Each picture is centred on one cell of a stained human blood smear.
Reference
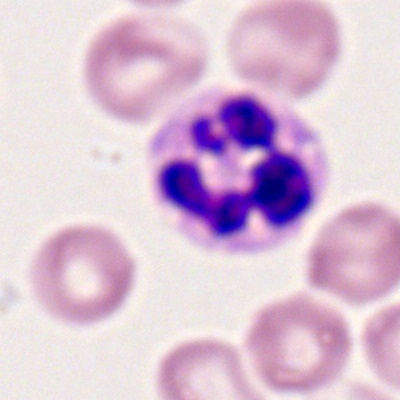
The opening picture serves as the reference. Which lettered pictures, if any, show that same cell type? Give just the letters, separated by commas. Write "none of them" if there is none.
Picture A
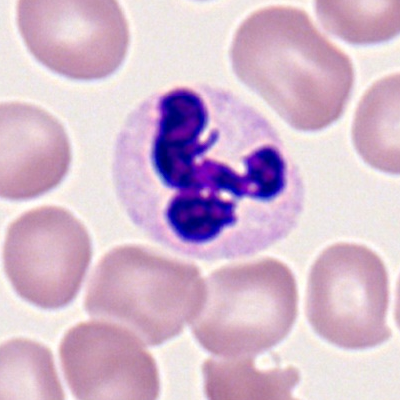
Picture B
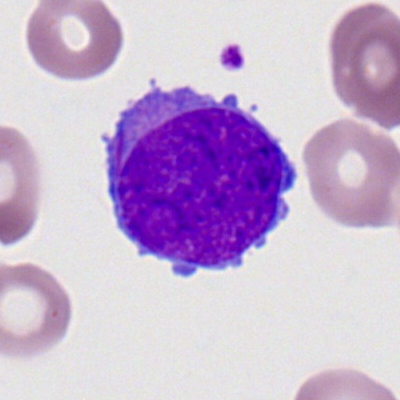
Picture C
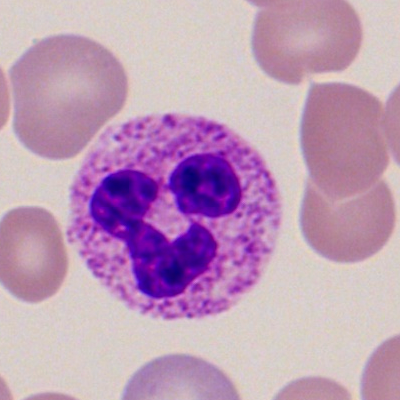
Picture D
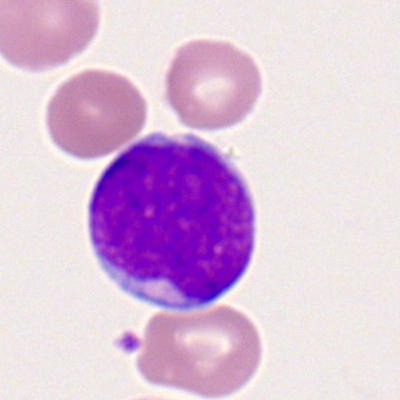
A, C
